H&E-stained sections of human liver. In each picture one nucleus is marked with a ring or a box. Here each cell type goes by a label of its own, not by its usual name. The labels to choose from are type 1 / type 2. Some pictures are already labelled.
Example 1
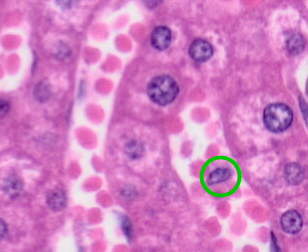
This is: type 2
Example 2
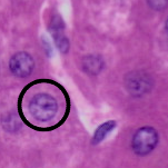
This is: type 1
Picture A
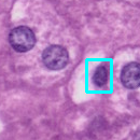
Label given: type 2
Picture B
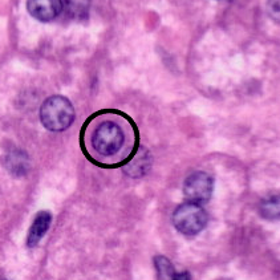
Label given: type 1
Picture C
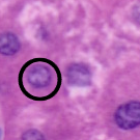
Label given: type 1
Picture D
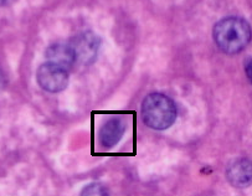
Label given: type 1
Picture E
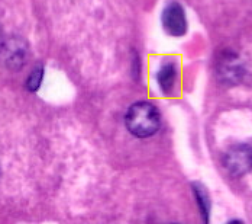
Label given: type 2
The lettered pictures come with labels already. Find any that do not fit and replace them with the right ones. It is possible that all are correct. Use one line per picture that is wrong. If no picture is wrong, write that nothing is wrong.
D is labelled type 1; correct label: type 2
